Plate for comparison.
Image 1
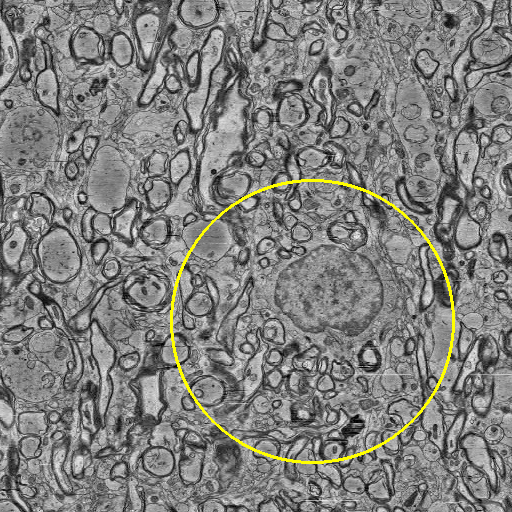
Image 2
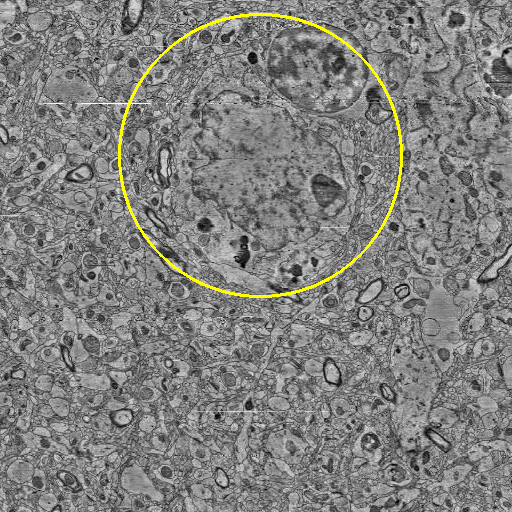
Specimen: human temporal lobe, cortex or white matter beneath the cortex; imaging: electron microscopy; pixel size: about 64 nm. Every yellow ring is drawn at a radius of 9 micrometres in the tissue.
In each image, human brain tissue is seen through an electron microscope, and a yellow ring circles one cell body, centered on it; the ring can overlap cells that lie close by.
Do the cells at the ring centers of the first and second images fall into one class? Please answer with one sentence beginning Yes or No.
No, the first and second images show two classes of cell at the ring centers.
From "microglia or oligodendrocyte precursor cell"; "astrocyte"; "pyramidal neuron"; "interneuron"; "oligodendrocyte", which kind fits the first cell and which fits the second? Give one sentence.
The cell marked in the first picture is an oligodendrocyte, and the one marked in the second is an interneuron.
